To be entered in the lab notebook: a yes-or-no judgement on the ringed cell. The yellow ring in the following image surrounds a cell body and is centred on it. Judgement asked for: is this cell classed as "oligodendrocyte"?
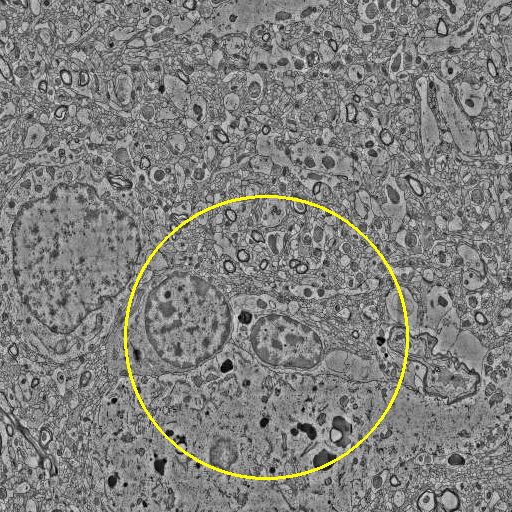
No, it falls in another class.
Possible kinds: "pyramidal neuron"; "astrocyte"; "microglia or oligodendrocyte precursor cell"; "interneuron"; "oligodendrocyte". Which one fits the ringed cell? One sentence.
Instead, the picture shows a microglial cell or oligodendrocyte precursor cell at the centre of the ring.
